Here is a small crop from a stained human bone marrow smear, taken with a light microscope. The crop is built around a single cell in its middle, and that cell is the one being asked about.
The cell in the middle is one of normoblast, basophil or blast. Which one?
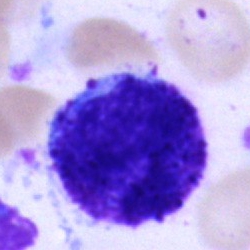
basophil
